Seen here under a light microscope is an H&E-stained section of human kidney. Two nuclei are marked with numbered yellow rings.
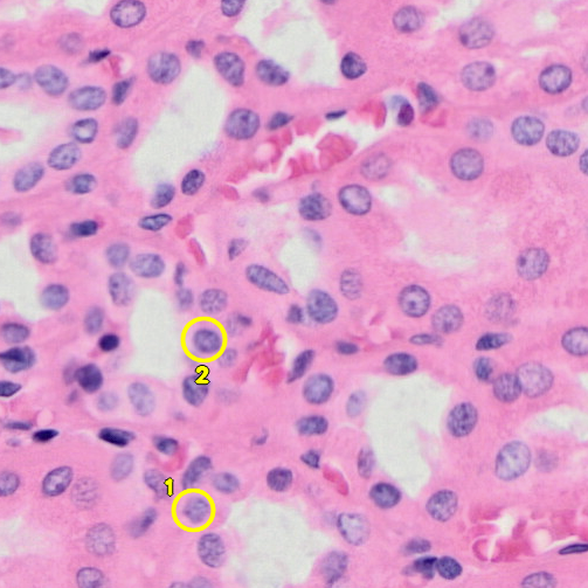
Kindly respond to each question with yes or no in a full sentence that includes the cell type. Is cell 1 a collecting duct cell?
No, cell 1 has been misnamed; it is a loop of Henle or distal tubule cell, not a collecting duct cell.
